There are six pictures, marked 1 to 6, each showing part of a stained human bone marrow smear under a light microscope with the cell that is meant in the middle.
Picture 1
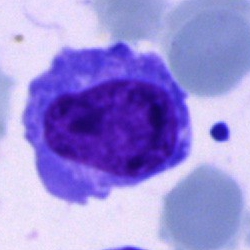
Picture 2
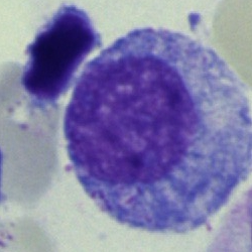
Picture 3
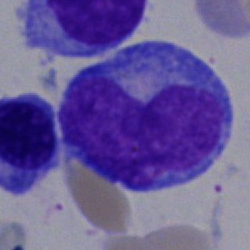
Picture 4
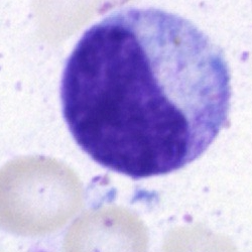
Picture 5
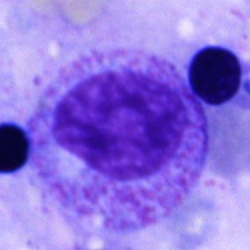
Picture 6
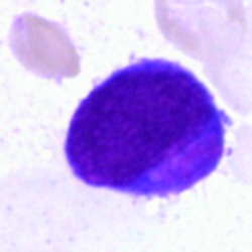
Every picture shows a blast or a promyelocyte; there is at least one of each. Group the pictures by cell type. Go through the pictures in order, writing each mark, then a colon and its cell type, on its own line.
1: blast
2: promyelocyte
3: blast
4: promyelocyte
5: promyelocyte
6: blast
